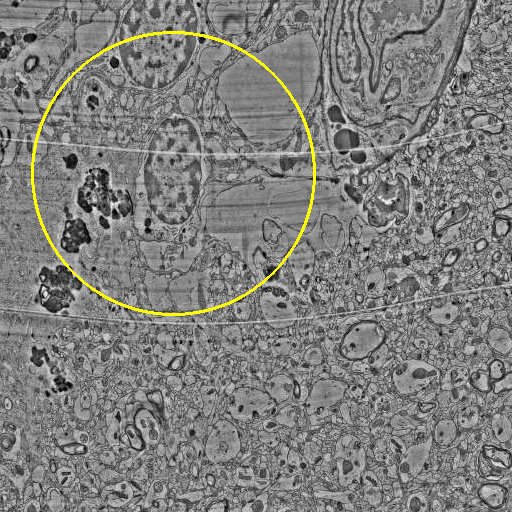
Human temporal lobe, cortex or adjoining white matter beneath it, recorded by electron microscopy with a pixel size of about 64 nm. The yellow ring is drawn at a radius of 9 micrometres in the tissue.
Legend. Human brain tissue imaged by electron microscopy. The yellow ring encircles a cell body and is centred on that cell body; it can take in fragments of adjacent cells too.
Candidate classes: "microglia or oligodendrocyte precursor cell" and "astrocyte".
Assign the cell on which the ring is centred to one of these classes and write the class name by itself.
microglia or oligodendrocyte precursor cell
